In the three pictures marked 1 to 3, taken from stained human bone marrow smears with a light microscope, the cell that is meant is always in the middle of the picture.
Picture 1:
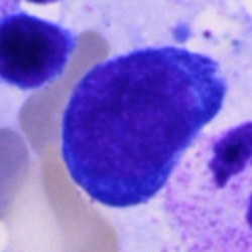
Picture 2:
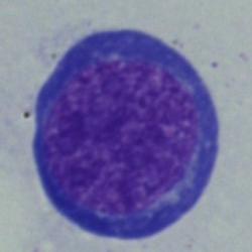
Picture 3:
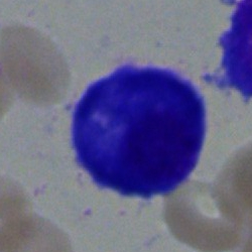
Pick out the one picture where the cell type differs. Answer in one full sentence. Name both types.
Picture 3 differs, because its cell is a plasma cell and the rest are proerythroblasts.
